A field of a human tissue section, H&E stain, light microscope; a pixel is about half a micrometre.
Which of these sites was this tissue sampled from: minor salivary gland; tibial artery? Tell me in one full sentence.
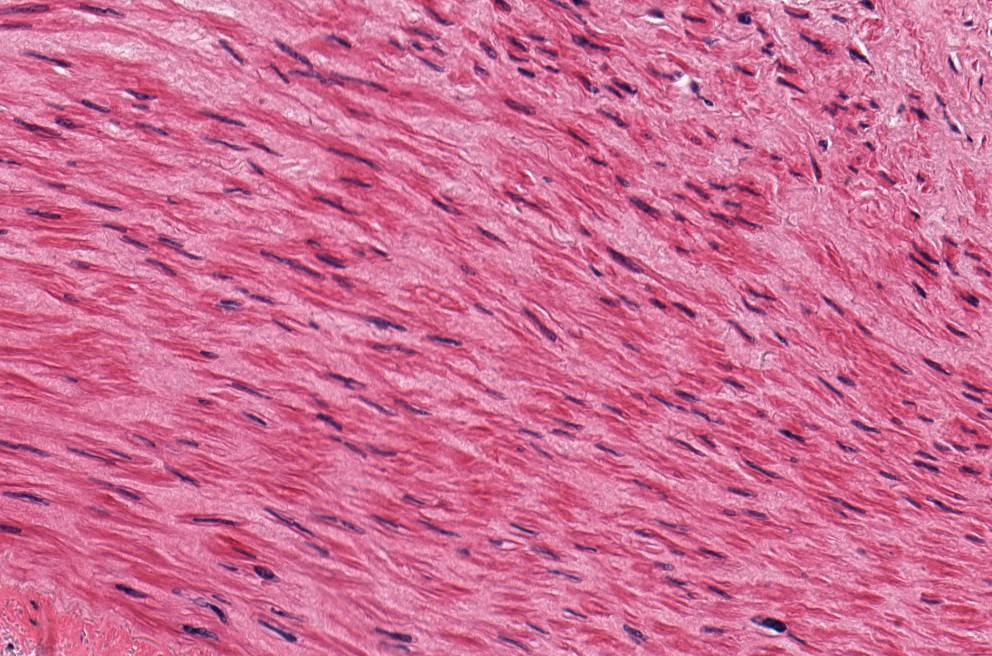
The origin of this tissue is the tibial artery.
